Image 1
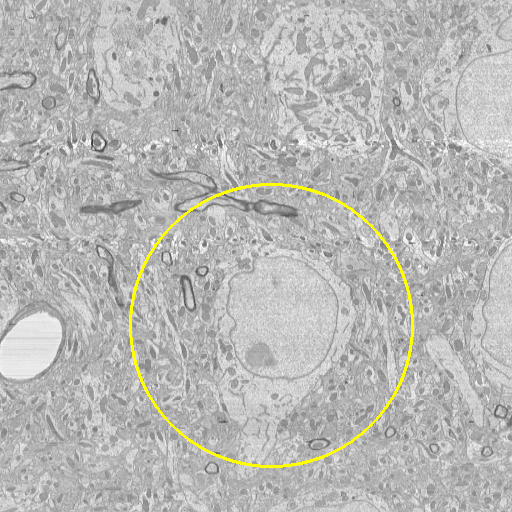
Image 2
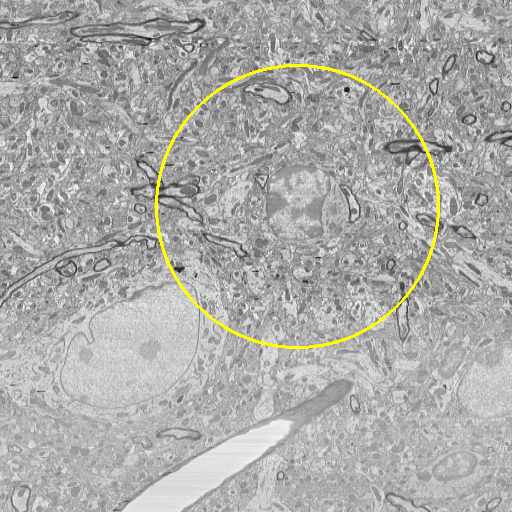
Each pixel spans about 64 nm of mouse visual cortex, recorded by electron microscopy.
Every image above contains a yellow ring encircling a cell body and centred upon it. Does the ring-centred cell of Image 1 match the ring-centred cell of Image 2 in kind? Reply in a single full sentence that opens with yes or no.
No, the cell at the ring's centre in Image 1 is a separate kind from that in Image 2.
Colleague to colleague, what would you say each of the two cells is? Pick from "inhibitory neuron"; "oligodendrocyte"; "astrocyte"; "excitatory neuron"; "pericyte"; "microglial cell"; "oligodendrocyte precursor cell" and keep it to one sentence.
The cell in the first picture is an excitatory neuron; the second picture's cell is an oligodendrocyte.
